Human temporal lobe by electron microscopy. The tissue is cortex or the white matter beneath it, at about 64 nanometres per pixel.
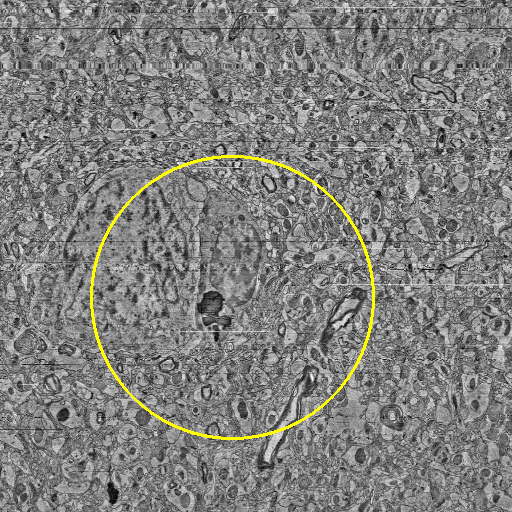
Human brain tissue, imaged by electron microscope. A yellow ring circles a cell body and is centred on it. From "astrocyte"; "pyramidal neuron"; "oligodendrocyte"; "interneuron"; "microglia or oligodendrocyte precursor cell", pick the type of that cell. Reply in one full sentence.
The cell body at the centre of the yellow ring belongs to an oligodendrocyte.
